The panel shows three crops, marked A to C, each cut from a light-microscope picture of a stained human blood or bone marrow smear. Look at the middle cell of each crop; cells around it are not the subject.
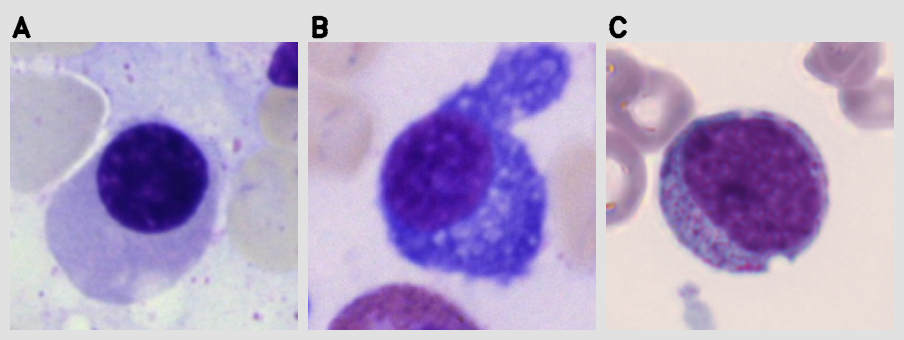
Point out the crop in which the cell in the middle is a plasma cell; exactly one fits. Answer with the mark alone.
B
